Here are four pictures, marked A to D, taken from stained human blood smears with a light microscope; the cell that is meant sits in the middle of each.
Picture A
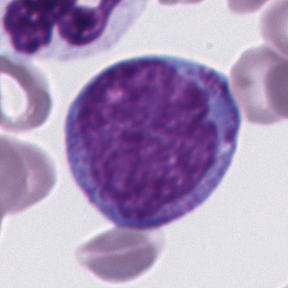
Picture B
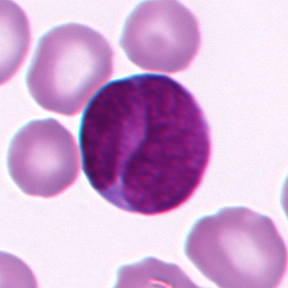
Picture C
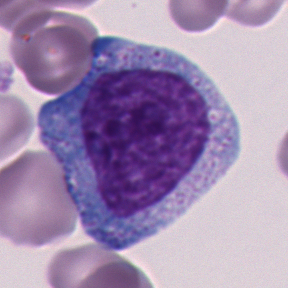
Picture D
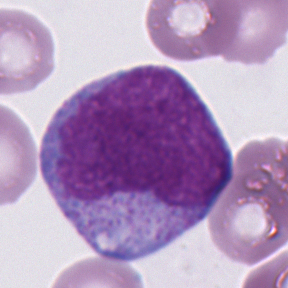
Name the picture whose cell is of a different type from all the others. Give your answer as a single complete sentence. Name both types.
All pictures except B show promyelocytes; picture B shows a myeloblast.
